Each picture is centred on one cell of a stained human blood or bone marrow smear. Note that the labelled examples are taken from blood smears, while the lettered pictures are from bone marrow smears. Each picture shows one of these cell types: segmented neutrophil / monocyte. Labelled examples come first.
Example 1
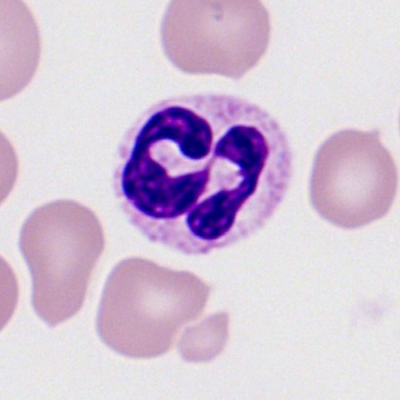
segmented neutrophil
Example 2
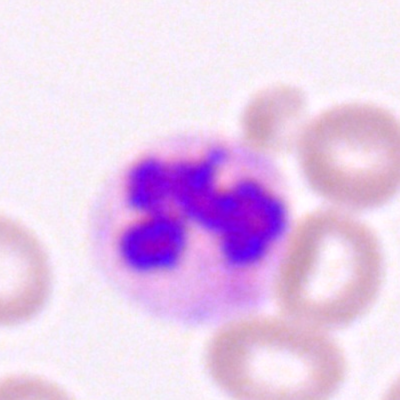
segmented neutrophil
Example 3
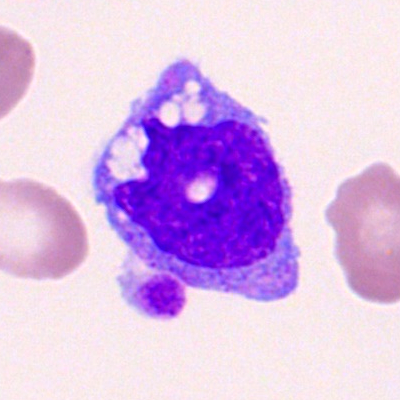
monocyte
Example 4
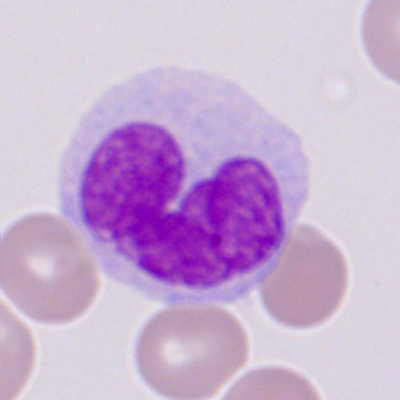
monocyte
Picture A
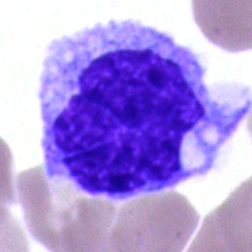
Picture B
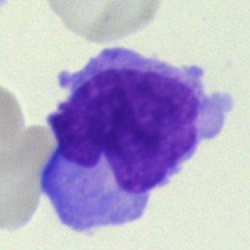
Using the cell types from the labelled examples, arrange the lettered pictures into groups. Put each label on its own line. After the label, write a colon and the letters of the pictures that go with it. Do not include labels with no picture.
monocyte: A, B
